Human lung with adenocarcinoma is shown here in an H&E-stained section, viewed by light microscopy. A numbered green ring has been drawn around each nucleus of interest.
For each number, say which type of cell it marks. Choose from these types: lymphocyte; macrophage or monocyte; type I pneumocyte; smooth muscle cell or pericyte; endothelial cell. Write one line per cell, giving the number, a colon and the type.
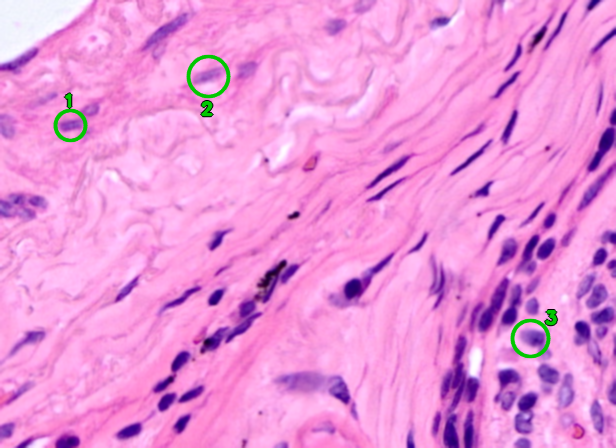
1: smooth muscle cell or pericyte
2: smooth muscle cell or pericyte
3: lymphocyte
